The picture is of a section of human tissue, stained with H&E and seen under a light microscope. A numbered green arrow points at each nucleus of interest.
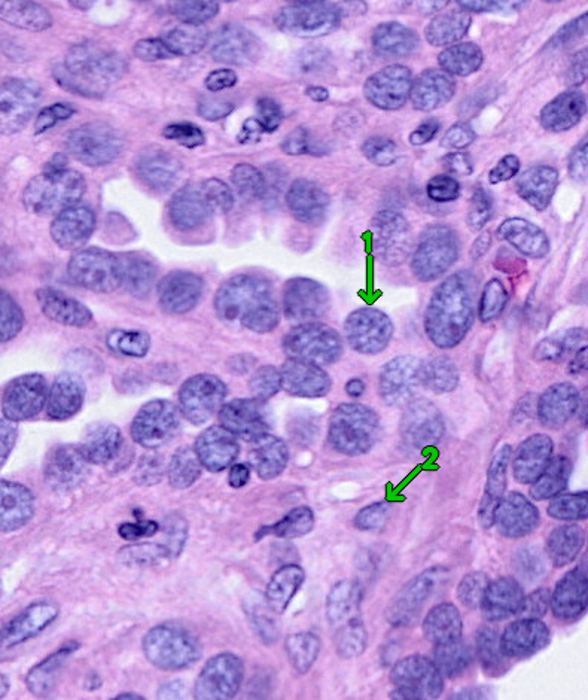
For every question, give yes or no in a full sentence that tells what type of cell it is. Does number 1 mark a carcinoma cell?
Yes, the cell pointed out as number 1 is a carcinoma cell.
